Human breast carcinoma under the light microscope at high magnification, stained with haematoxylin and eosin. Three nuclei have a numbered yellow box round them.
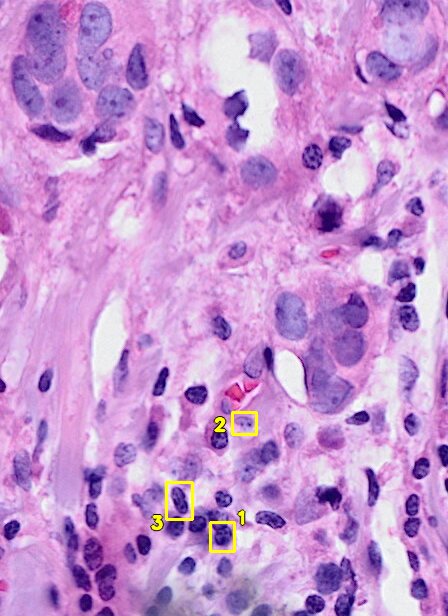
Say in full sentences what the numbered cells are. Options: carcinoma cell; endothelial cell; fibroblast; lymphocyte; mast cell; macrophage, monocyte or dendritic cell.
Cell 1 is a lymphocyte, cell 2 is an endothelial cell and cell 3 is a lymphocyte.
